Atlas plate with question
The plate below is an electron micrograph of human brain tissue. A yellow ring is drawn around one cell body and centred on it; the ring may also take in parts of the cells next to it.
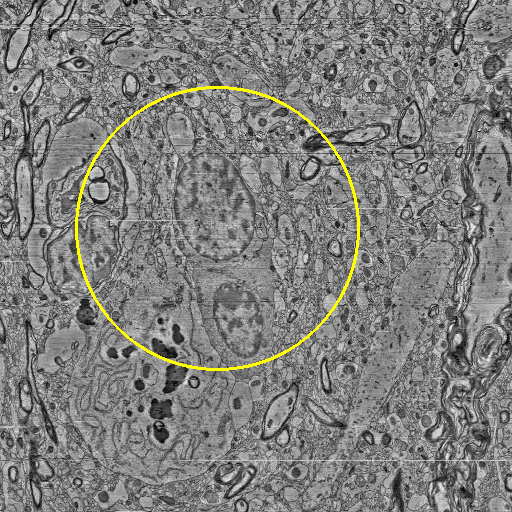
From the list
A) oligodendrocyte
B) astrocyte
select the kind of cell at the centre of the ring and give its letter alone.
A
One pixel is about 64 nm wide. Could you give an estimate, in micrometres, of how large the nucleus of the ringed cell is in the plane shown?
About 7 by 5 micrometers, in this plane.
